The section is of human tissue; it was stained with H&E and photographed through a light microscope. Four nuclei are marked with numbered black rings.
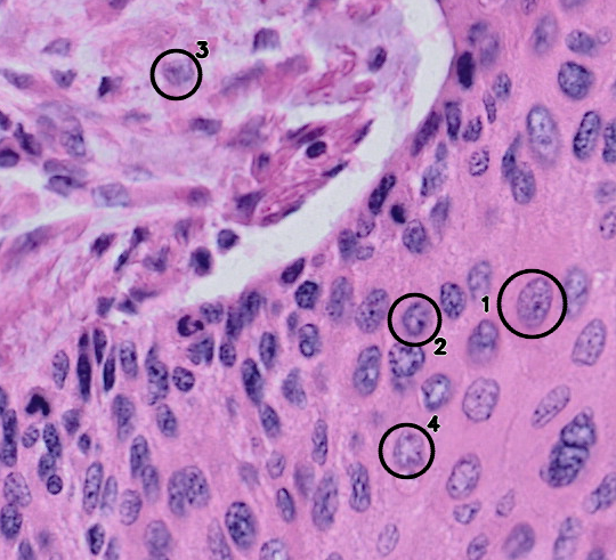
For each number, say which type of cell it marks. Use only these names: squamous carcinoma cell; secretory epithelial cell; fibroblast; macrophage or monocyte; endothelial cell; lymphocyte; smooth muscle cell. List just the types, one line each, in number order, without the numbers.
squamous carcinoma cell
squamous carcinoma cell
fibroblast
squamous carcinoma cell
